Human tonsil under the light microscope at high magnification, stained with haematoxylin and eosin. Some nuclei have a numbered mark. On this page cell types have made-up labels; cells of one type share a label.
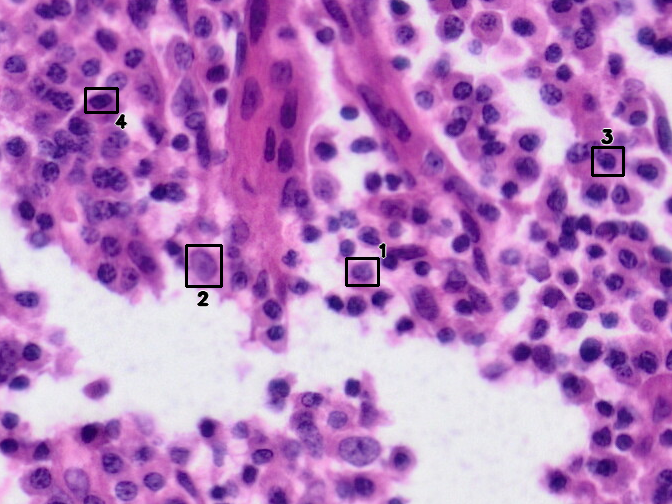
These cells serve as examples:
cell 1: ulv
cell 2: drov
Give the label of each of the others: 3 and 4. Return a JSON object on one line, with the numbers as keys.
{"3": "ulv", "4": "ulv"}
